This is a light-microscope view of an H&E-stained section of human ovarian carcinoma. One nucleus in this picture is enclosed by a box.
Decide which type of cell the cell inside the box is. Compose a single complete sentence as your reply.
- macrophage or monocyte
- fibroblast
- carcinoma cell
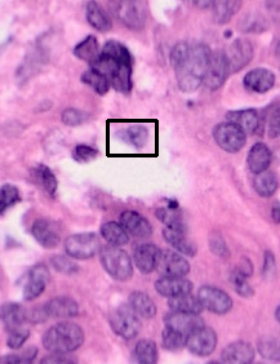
Speaking plainly, the cell inside the box is nothing other than a macrophage or monocyte.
